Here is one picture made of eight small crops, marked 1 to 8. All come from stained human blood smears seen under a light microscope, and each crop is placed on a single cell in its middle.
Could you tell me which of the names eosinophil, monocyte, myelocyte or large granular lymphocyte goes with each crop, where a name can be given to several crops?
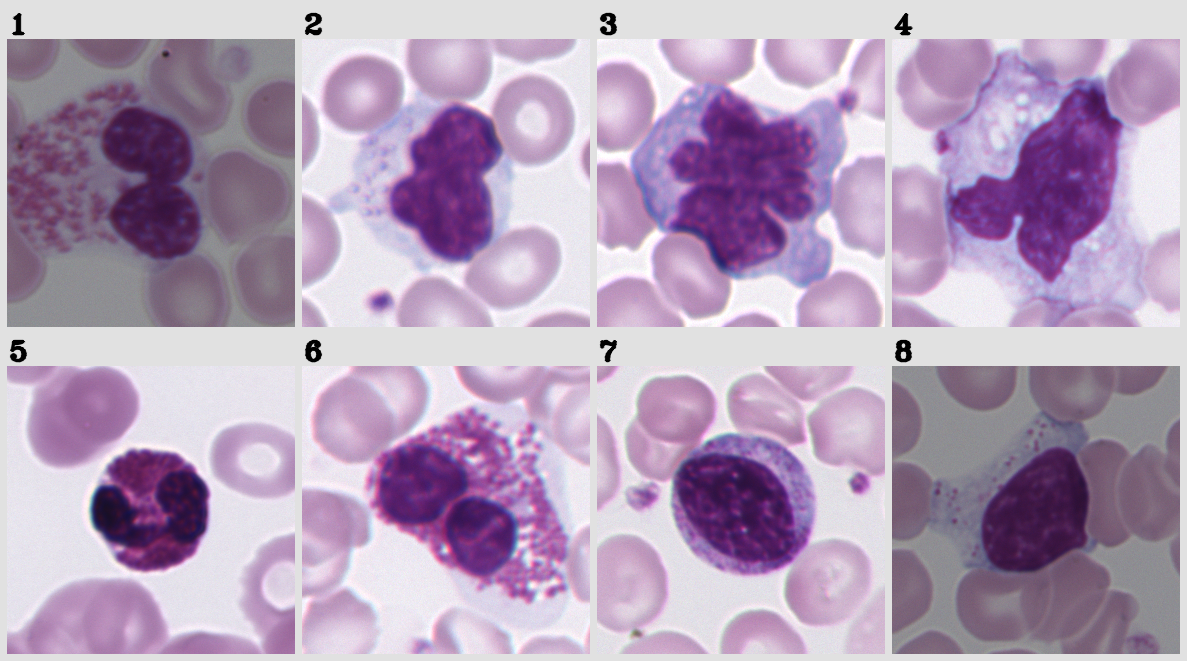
1: eosinophil
2: large granular lymphocyte
3: monocyte
4: monocyte
5: eosinophil
6: eosinophil
7: myelocyte
8: large granular lymphocyte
